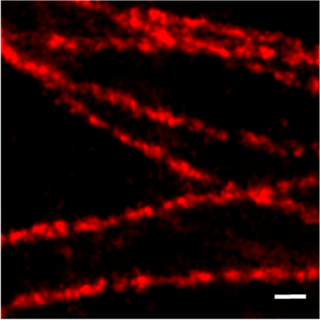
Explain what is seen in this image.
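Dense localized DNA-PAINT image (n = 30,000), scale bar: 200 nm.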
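This super-resolution image shows several microtubules of a cell as red filaments on a black background. The filaments are long, unbranched and gently curved, and most run diagonally across the field, some roughly parallel to one another. Along each filament the red signal is grainy and made of many small clustered spots rather than a smooth line.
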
